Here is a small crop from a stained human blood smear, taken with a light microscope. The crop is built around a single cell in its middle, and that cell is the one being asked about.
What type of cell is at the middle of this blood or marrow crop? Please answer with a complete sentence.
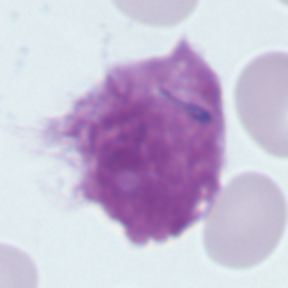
In short, the cell at the center is a smudge cell.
